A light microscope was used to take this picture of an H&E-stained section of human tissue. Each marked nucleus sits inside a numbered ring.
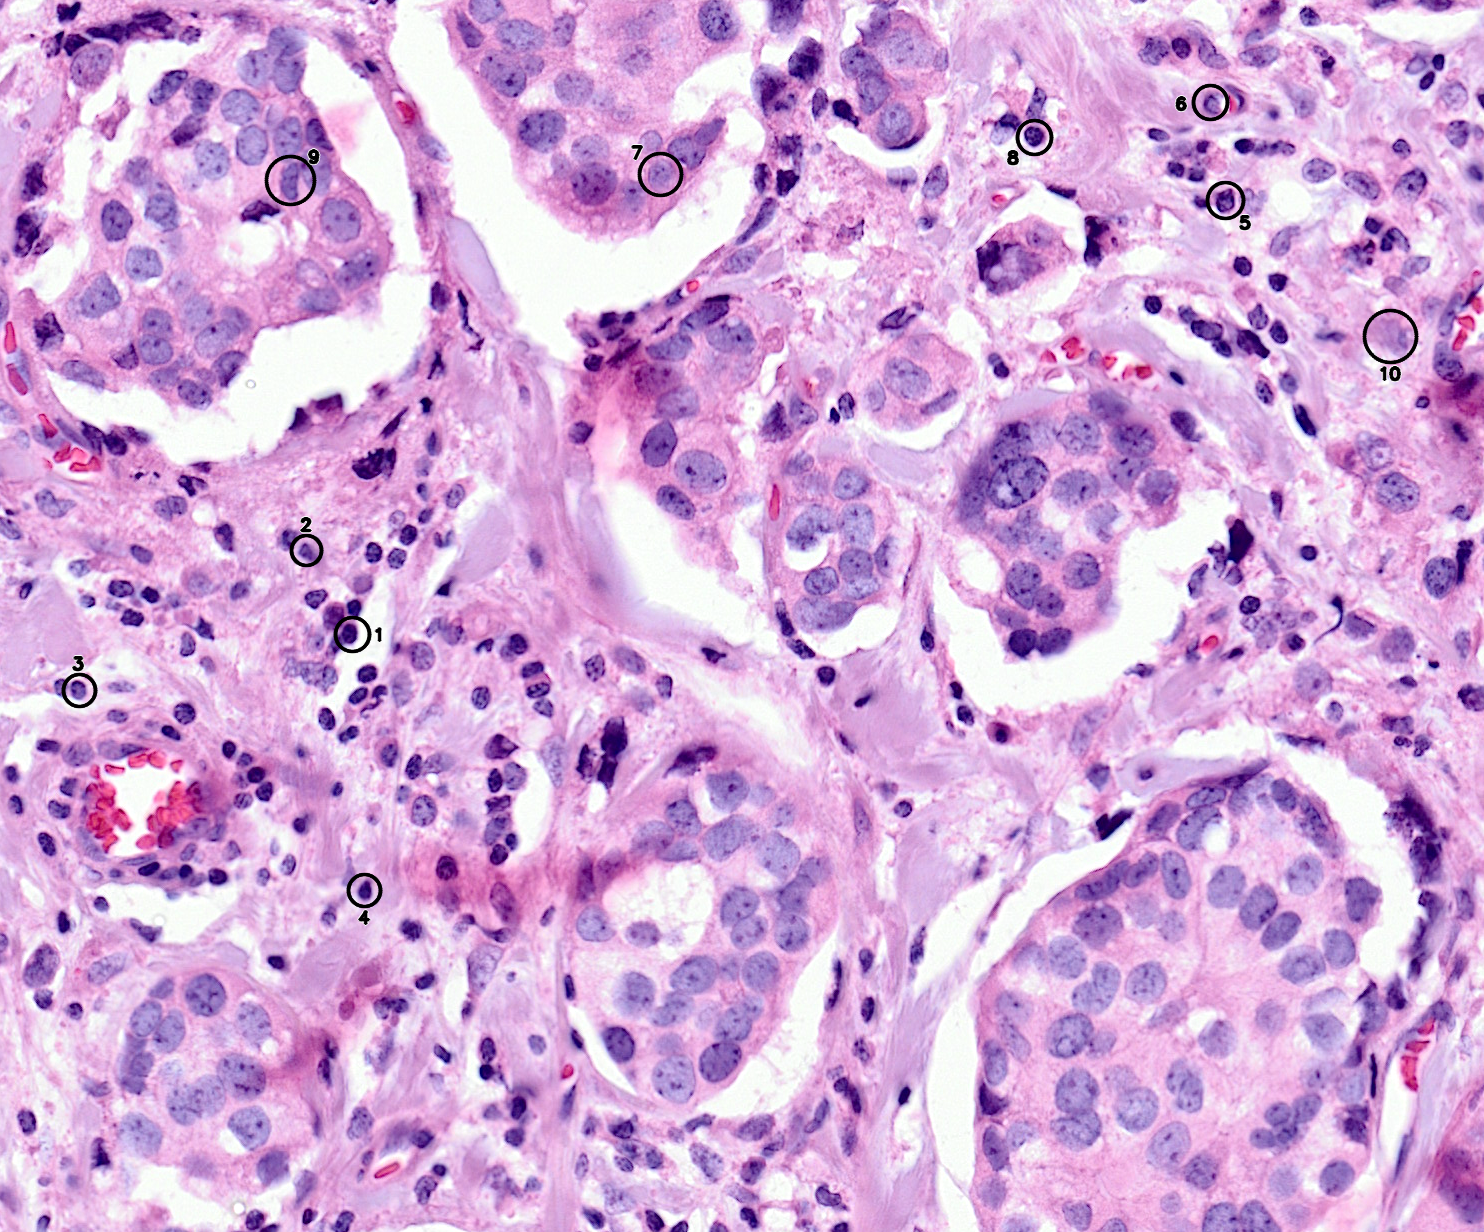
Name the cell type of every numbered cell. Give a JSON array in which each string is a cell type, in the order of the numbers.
["lymphocyte", "lymphocyte", "lymphocyte", "lymphocyte", "lymphocyte", "endothelial cell", "carcinoma cell", "lymphocyte", "carcinoma cell", "fibroblast"]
